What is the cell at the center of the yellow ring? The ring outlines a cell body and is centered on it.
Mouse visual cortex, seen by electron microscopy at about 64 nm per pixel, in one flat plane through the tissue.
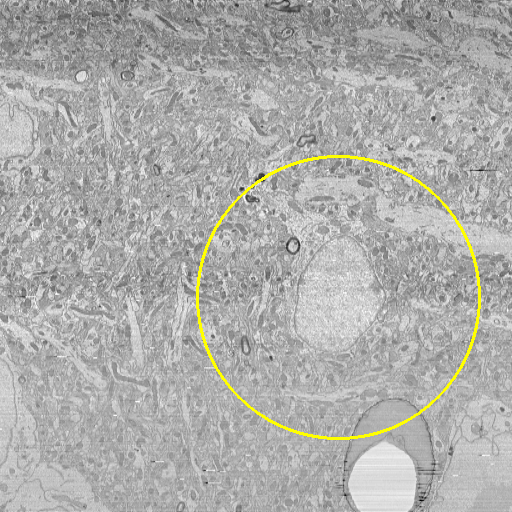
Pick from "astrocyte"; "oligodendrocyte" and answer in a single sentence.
The yellow ring is centered on an astrocyte.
